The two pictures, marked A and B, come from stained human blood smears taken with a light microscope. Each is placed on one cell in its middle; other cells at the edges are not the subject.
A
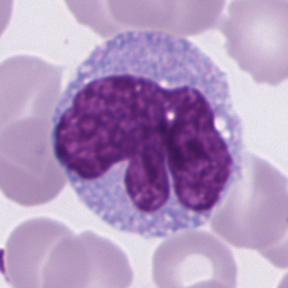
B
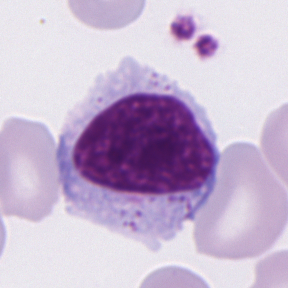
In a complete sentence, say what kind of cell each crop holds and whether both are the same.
No, the cells are a monocyte in crop A and a large granular lymphocyte in crop B.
